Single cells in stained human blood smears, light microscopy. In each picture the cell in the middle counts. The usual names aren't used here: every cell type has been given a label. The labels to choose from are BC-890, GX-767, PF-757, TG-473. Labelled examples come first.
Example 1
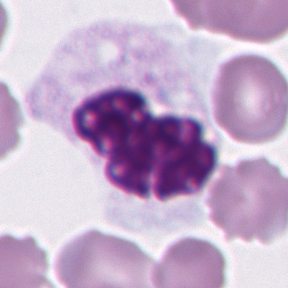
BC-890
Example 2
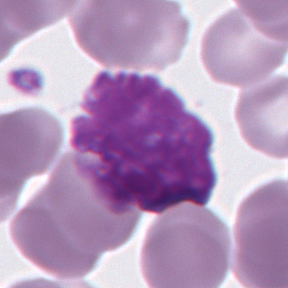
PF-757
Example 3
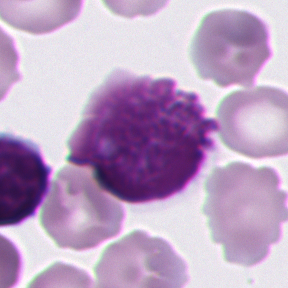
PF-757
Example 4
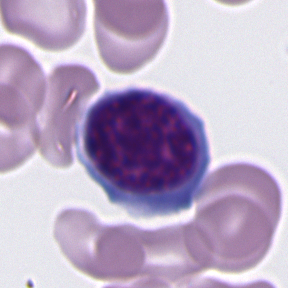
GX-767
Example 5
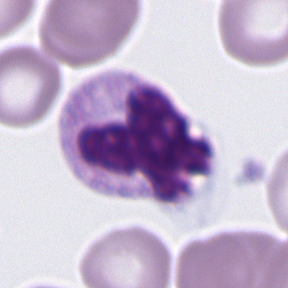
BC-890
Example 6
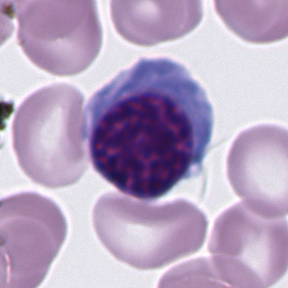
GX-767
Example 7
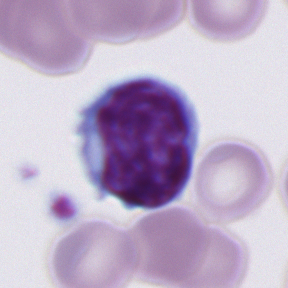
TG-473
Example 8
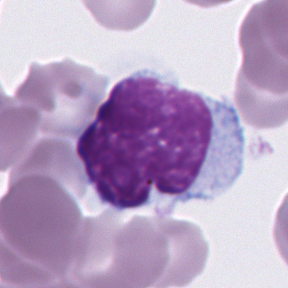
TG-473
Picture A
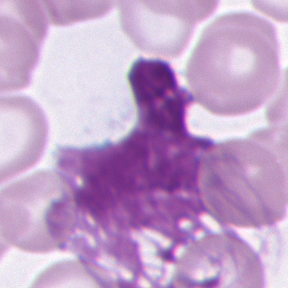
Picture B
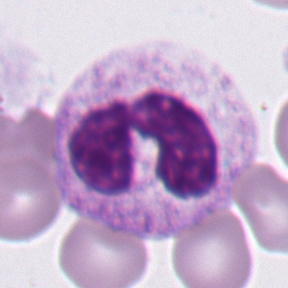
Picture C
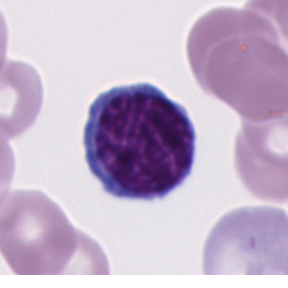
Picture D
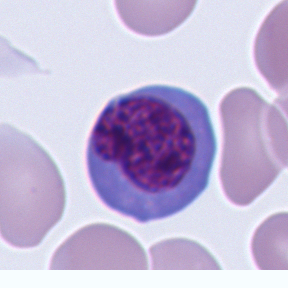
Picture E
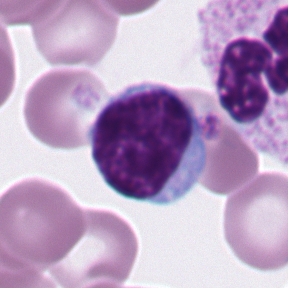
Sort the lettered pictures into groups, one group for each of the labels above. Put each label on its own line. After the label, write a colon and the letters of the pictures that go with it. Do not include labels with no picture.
BC-890: B
GX-767: C, D
PF-757: A
TG-473: E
